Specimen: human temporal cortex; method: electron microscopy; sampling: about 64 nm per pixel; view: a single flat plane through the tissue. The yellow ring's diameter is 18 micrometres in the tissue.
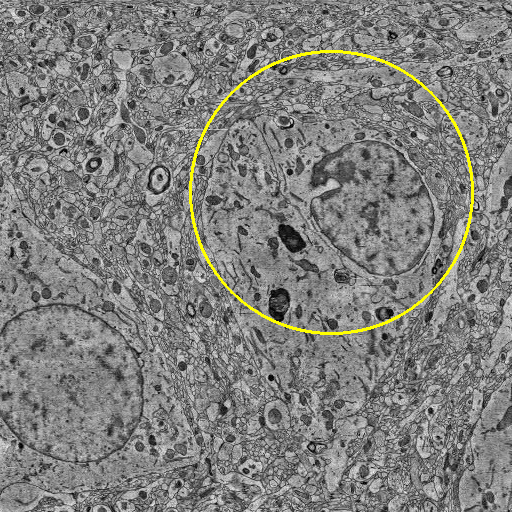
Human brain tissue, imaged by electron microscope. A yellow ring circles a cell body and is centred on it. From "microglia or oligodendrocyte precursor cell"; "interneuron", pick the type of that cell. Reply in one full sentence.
The cell body at the centre of the yellow ring belongs to a microglial cell or oligodendrocyte precursor cell.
